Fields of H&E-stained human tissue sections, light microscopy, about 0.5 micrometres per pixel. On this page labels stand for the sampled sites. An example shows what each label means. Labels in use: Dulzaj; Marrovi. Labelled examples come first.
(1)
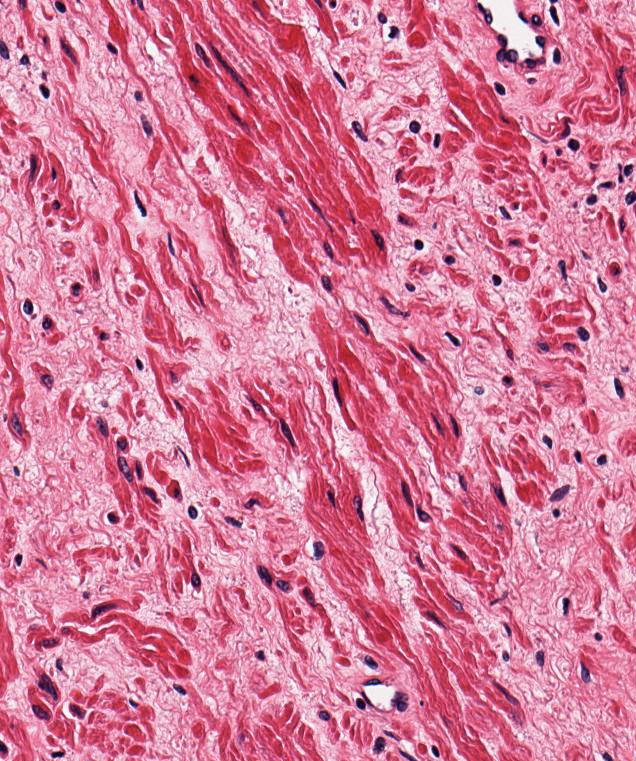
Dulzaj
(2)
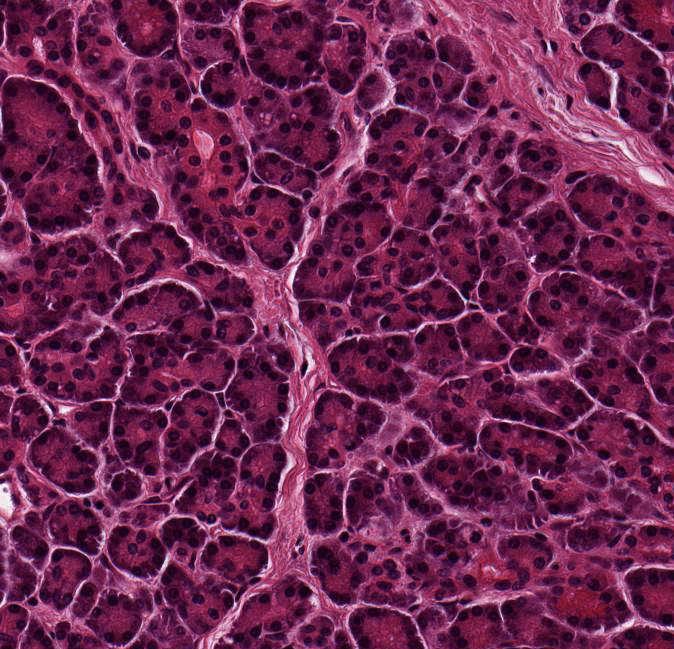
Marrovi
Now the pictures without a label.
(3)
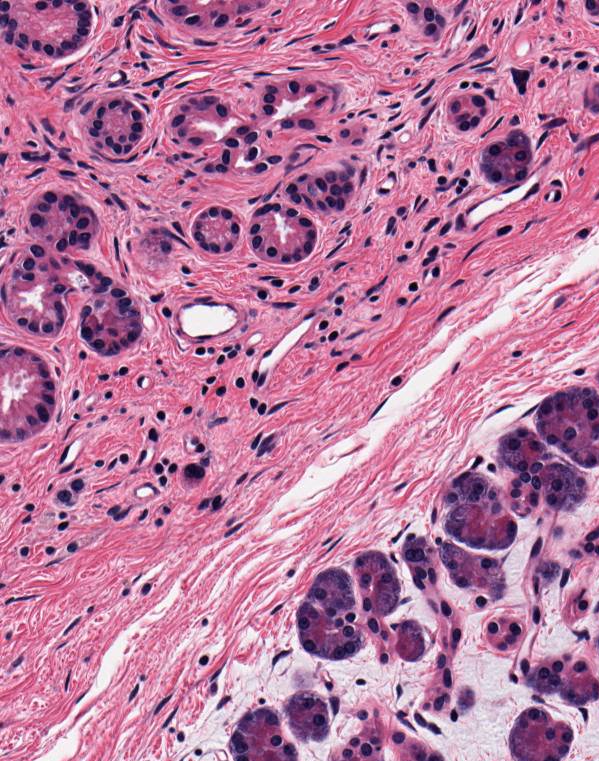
Marrovi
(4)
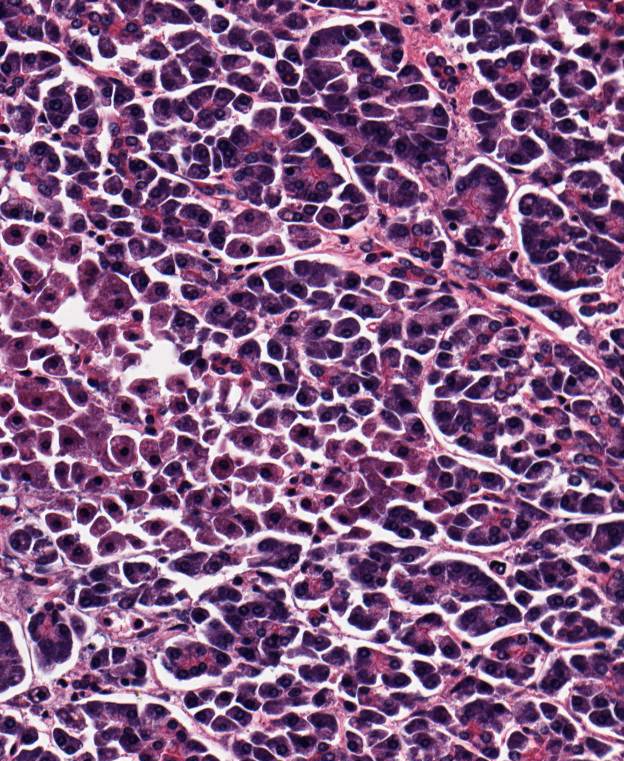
Marrovi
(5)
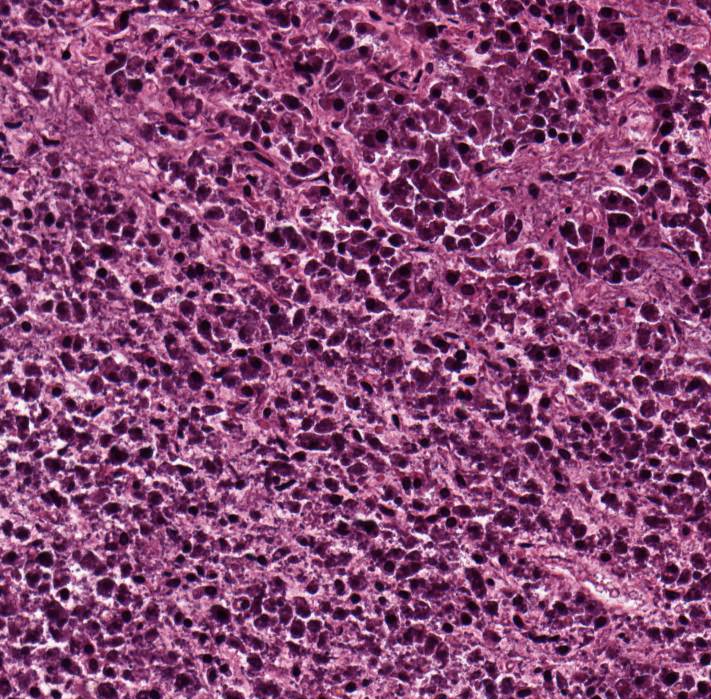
Marrovi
